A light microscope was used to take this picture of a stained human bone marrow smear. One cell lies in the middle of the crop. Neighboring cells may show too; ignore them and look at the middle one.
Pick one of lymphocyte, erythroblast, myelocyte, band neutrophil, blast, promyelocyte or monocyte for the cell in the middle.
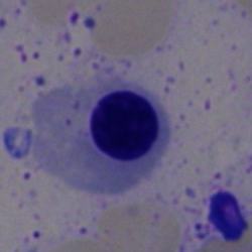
erythroblast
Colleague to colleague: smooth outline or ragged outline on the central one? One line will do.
Edge check done: smooth outline, no projections present.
